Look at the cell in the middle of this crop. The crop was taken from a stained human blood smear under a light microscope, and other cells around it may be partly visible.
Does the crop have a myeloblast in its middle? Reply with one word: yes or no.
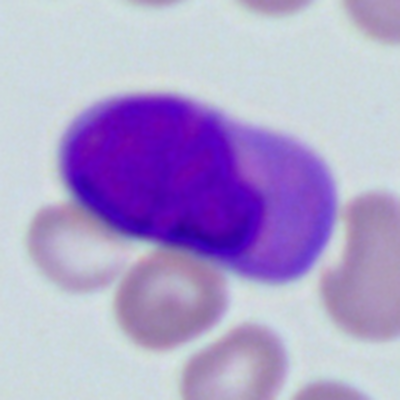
yes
